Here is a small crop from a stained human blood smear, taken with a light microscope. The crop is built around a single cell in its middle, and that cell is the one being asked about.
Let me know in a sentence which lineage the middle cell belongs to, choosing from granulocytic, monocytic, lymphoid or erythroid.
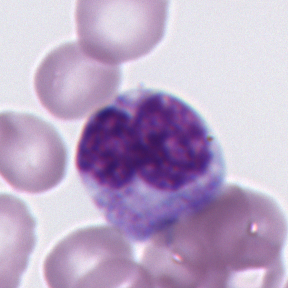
The cell at the very center of the crop belongs to the monocytic lineage.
